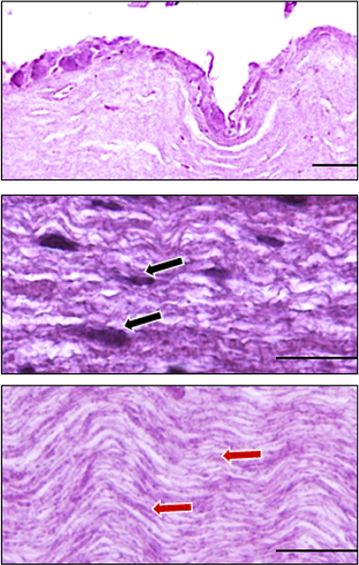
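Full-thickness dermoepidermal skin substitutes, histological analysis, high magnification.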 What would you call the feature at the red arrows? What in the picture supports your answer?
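Parallel fibers of the biomaterial. Fine pink-violet fibers run side by side in wavy, undulating bands. The red arrows lie on these aligned fibers.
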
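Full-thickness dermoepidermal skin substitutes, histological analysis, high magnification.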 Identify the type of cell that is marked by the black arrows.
Cells immersed in the biomaterial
